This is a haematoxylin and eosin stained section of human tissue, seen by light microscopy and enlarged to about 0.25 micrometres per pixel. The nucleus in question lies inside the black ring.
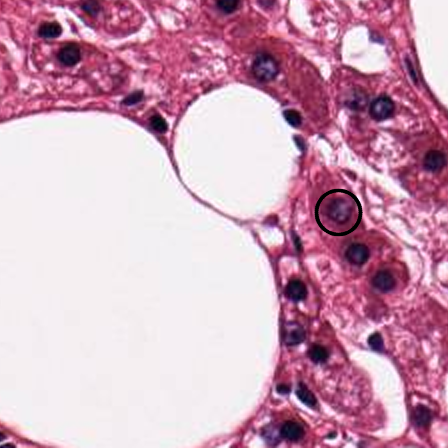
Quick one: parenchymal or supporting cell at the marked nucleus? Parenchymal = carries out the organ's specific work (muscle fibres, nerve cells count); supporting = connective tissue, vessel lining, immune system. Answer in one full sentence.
The marked nucleus belongs to the parenchyma, being the nucleus of an adrenal cortical cell.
